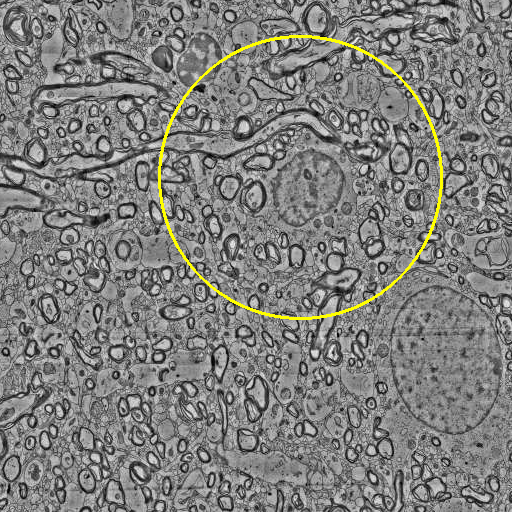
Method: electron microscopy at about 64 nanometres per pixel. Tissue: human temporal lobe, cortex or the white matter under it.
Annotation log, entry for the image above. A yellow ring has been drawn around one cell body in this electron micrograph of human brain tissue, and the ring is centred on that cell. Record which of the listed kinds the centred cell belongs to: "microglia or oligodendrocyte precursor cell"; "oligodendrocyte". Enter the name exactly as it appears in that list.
oligodendrocyte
